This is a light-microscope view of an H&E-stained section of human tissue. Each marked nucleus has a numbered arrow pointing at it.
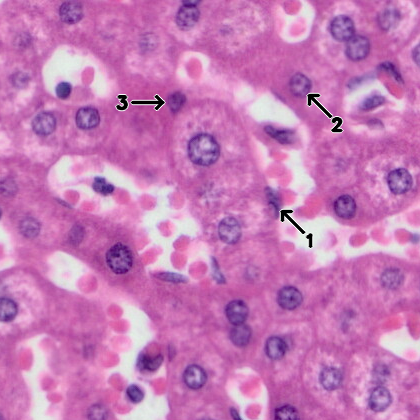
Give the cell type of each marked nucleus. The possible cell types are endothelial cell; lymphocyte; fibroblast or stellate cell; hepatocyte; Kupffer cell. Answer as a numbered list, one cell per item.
1. endothelial cell
2. hepatocyte
3. fibroblast or stellate cell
